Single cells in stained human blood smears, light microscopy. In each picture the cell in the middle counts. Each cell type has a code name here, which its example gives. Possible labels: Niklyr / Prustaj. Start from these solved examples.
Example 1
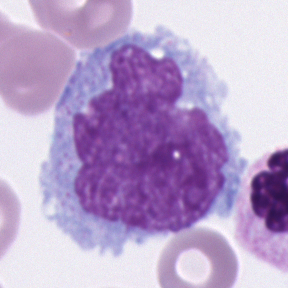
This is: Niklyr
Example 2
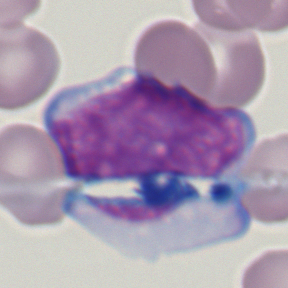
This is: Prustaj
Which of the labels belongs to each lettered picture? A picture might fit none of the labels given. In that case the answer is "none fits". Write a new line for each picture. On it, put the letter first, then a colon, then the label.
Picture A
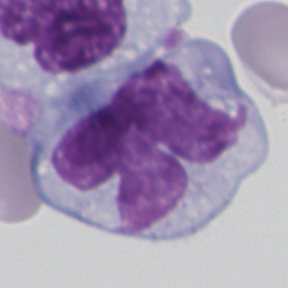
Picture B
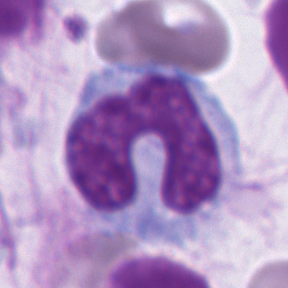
A: Niklyr
B: Niklyr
